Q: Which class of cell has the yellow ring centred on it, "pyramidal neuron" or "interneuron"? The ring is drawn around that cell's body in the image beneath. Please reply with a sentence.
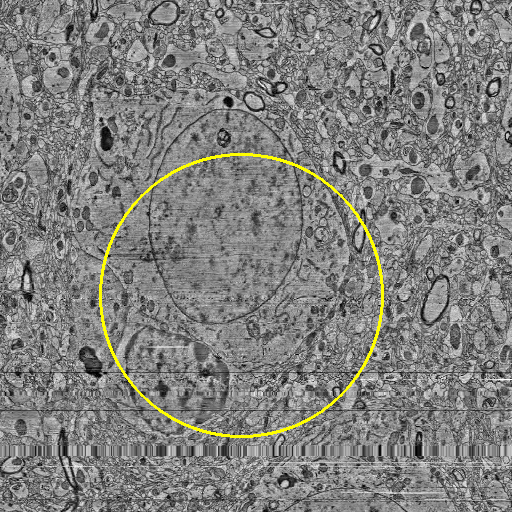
It is centred on a pyramidal neuron.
